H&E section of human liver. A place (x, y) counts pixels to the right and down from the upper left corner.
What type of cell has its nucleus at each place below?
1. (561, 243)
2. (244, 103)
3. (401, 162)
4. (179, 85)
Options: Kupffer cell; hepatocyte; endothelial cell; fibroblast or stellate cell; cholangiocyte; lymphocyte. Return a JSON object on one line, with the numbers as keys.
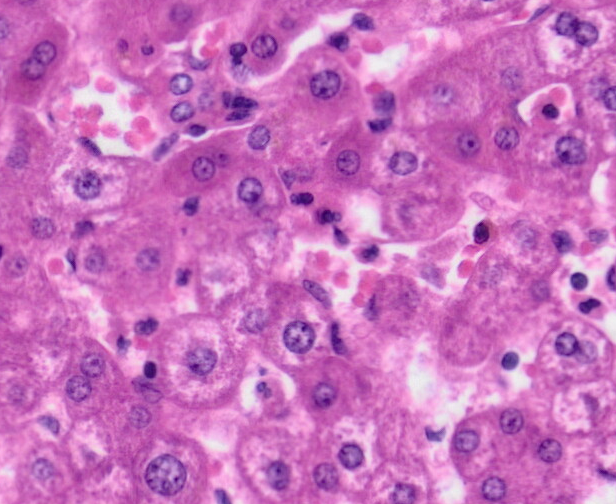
{"1": "fibroblast or stellate cell", "2": "fibroblast or stellate cell", "3": "hepatocyte", "4": "cholangiocyte"}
